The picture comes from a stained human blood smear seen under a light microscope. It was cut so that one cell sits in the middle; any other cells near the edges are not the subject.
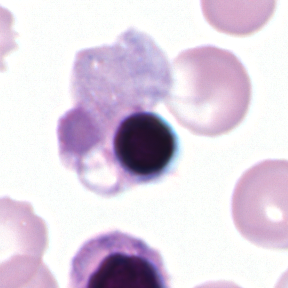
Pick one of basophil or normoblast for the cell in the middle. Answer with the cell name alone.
normoblast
